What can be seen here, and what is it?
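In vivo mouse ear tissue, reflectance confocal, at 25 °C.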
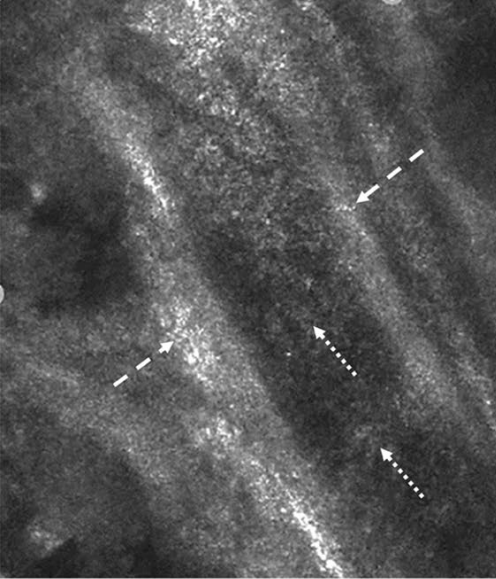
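Several elongated vessels run diagonally across the field, each bounded by bright, coarsely granular bands that mark the vascular wall. Between these bright walls lie darker channels in which faint small speckles of blood cells can be made out. The surrounding tissue has a fine, mottled grey texture.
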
